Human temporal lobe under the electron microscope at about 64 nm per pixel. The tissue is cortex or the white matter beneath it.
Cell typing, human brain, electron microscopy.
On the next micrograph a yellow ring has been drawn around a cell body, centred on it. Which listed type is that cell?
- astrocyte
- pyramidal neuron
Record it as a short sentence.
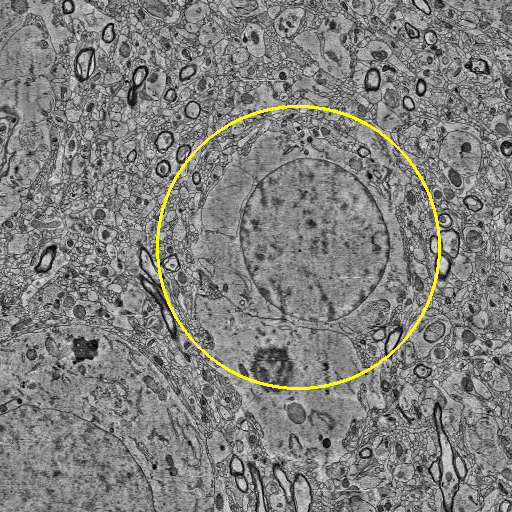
The cell body in the ring's centre belongs to an astrocyte.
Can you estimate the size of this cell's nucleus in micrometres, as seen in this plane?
Roughly 12 by 9 micrometres in this plane, for the nucleus of the ringed cell.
